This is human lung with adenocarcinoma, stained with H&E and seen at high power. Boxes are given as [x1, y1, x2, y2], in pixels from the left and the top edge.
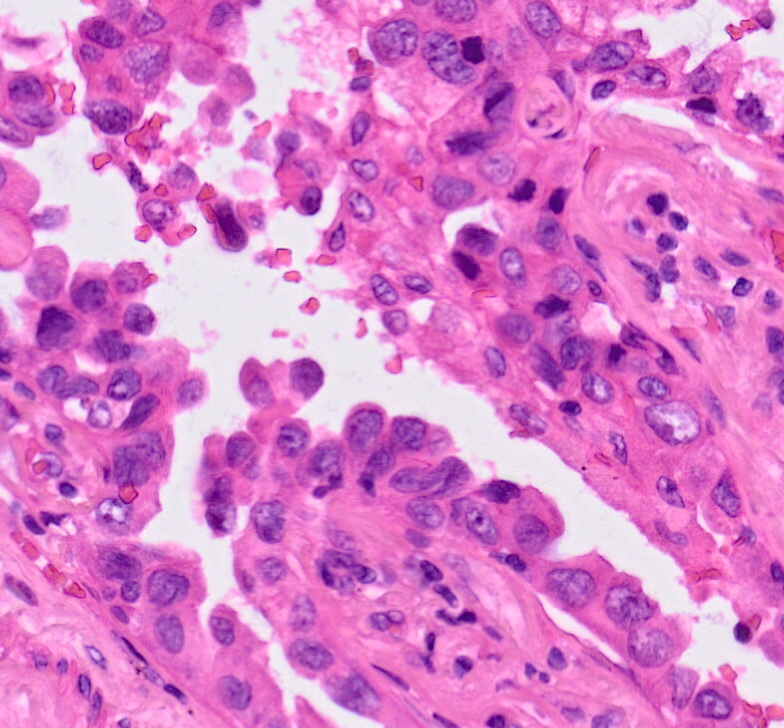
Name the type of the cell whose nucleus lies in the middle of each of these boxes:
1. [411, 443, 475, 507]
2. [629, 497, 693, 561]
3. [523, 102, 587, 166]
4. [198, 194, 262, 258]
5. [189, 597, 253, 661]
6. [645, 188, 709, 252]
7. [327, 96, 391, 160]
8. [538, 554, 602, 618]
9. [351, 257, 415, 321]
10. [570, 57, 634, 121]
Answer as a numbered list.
1. carcinoma cell
2. macrophage or monocyte
3. fibroblast
4. carcinoma cell
5. carcinoma cell
6. lymphocyte
7. macrophage or monocyte
8. carcinoma cell
9. macrophage or monocyte
10. lymphocyte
